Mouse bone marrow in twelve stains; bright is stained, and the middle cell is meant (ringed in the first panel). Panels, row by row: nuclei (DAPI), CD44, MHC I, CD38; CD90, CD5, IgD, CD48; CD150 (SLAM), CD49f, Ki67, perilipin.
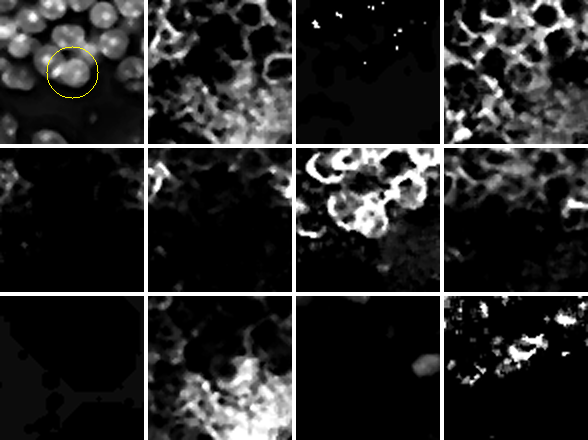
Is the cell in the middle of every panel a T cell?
No, it is a B cell.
